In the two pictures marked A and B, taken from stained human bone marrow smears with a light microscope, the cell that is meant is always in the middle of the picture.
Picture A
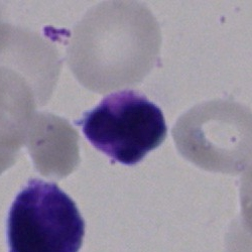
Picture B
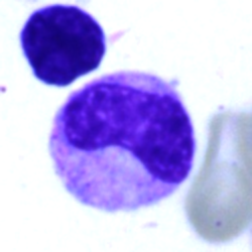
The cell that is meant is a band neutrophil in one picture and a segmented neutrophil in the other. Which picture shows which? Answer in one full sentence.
Picture A shows a segmented neutrophil and picture B shows a band neutrophil.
